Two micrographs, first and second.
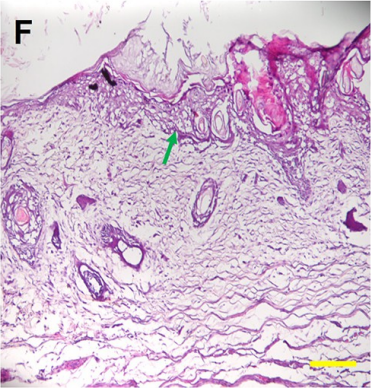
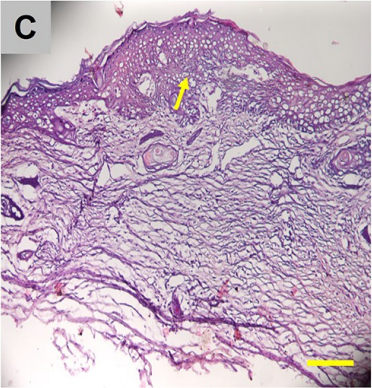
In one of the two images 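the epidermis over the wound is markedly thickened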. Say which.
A: The second image.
